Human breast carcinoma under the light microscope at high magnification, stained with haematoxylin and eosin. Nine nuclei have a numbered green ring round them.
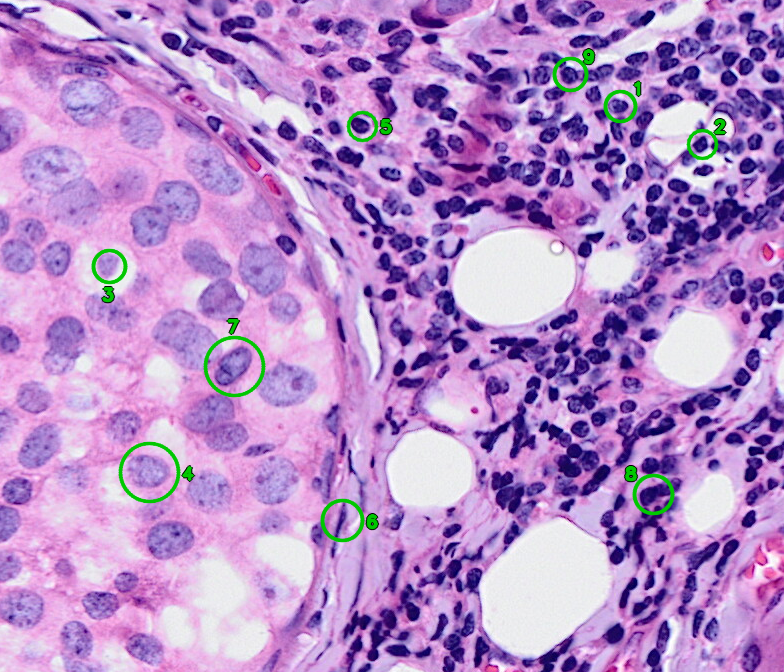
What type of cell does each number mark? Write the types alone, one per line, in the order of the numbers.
lymphocyte
lymphocyte
carcinoma cell
carcinoma cell
lymphocyte
fibroblast
carcinoma cell
lymphocyte
lymphocyte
